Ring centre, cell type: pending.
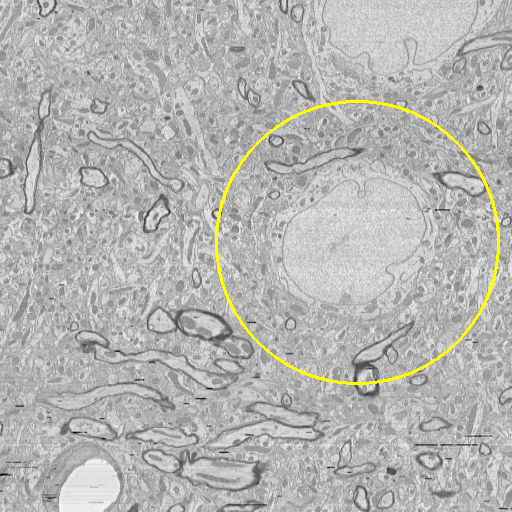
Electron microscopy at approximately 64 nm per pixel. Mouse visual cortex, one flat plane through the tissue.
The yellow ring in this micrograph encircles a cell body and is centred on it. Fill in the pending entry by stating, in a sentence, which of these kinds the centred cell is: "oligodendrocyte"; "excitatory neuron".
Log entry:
The centred cell is recorded as an excitatory neuron.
